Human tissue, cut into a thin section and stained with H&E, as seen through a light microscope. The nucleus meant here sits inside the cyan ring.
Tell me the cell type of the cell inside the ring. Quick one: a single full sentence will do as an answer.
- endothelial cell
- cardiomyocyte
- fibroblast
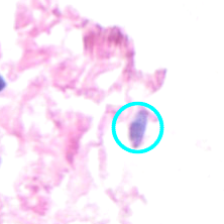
For cell typing purposes, the cell inside the ring is a fibroblast.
